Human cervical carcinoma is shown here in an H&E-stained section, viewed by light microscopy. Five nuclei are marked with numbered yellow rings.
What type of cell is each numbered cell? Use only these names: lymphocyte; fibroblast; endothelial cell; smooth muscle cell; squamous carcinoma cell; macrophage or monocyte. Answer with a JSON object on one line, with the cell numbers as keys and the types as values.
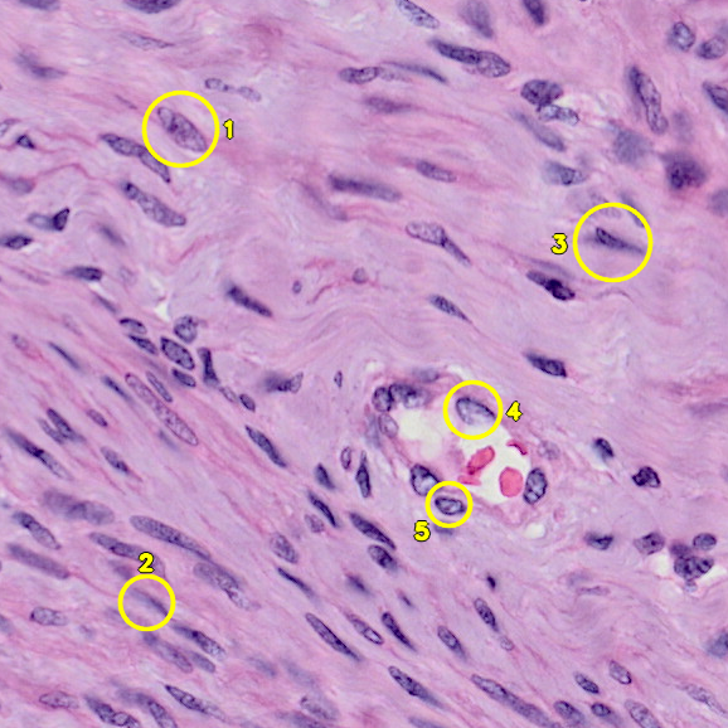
{"1": "smooth muscle cell", "2": "smooth muscle cell", "3": "fibroblast", "4": "endothelial cell", "5": "endothelial cell"}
